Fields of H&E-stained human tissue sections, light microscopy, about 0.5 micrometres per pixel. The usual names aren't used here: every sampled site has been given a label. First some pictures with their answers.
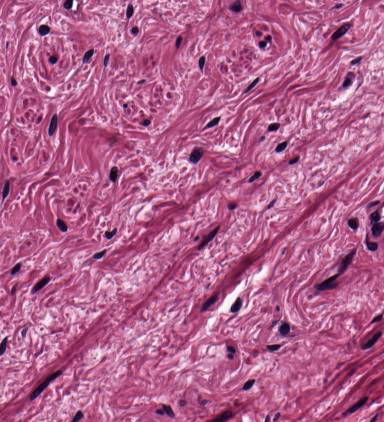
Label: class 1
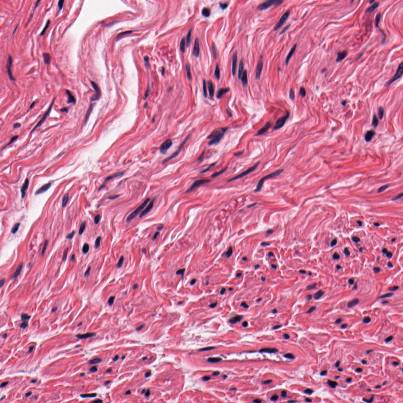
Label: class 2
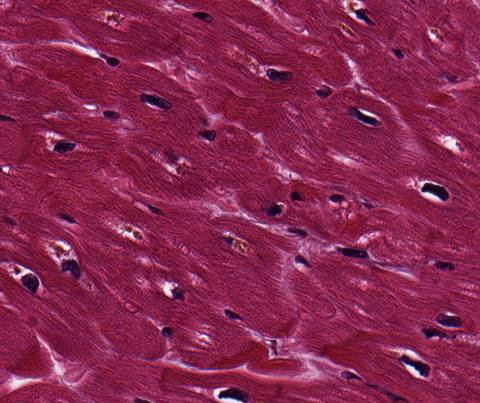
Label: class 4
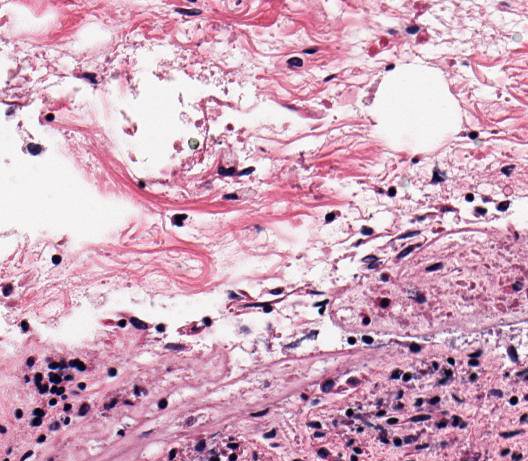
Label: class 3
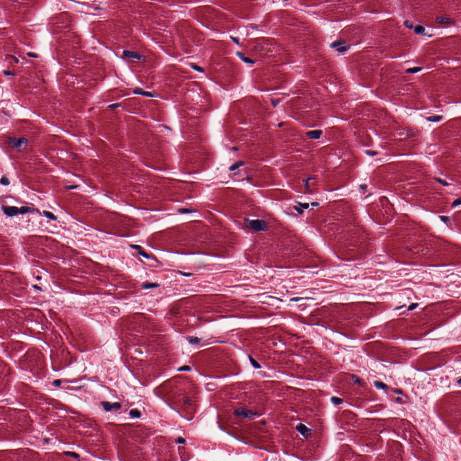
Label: class 4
